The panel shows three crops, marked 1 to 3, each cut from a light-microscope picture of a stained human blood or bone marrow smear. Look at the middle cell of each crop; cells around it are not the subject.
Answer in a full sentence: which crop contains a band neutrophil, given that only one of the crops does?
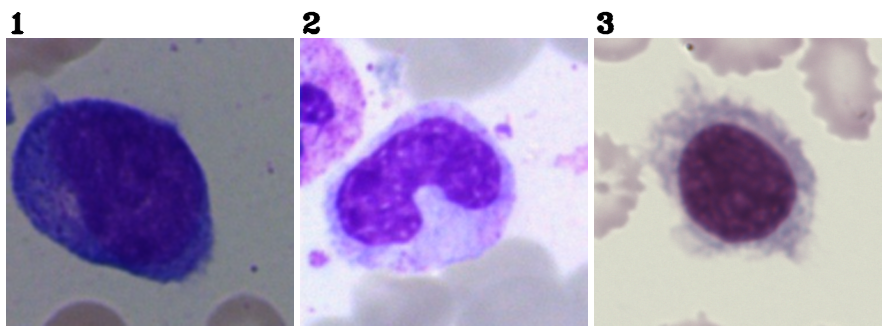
The crop carrying a band neutrophil at the center is crop 2.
